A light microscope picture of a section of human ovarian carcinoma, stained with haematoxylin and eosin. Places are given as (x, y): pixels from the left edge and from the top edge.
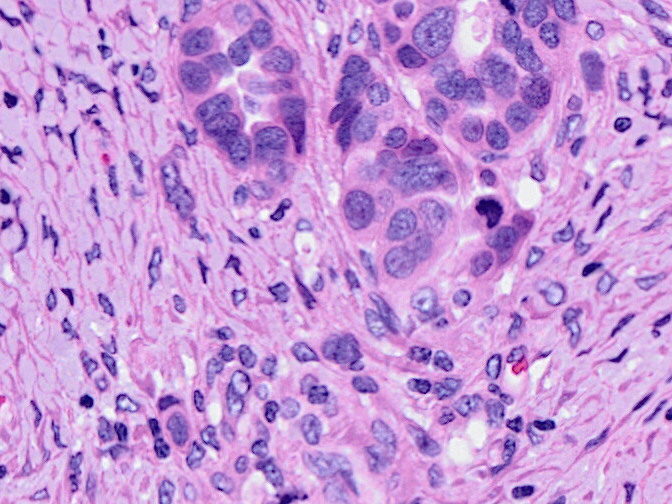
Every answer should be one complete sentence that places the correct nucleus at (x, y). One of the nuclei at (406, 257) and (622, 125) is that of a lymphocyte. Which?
It is the nucleus at (622, 125), not the other one, that belongs to a lymphocyte.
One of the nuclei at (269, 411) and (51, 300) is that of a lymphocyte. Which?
Of the two nuclei, the one at (269, 411) belongs to a lymphocyte.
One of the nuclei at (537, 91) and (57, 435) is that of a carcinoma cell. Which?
The nucleus at (537, 91) is housed in a carcinoma cell.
